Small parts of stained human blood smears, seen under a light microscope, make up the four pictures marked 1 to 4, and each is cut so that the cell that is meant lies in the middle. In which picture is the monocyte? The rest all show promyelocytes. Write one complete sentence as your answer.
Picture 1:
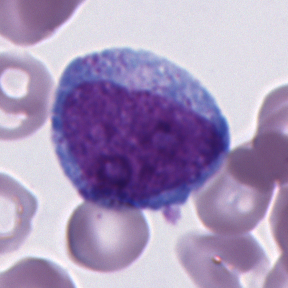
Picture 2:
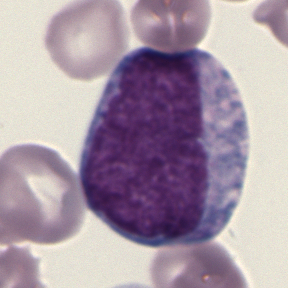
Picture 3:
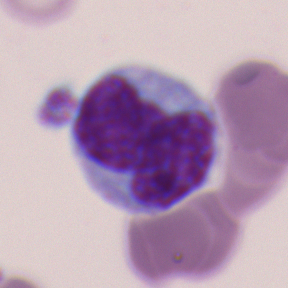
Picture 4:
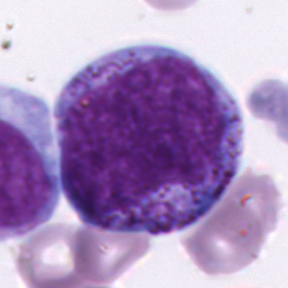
Picture 3 is the one that shows the monocyte.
